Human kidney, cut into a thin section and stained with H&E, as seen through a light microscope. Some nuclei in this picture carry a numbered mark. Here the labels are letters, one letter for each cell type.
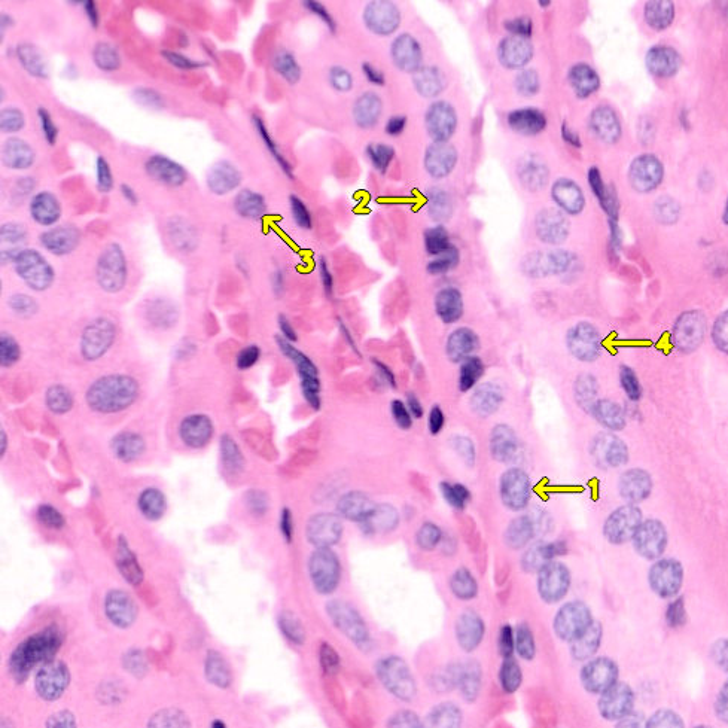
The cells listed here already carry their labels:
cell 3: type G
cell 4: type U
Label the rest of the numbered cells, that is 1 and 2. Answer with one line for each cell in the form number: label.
1: type U
2: type U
